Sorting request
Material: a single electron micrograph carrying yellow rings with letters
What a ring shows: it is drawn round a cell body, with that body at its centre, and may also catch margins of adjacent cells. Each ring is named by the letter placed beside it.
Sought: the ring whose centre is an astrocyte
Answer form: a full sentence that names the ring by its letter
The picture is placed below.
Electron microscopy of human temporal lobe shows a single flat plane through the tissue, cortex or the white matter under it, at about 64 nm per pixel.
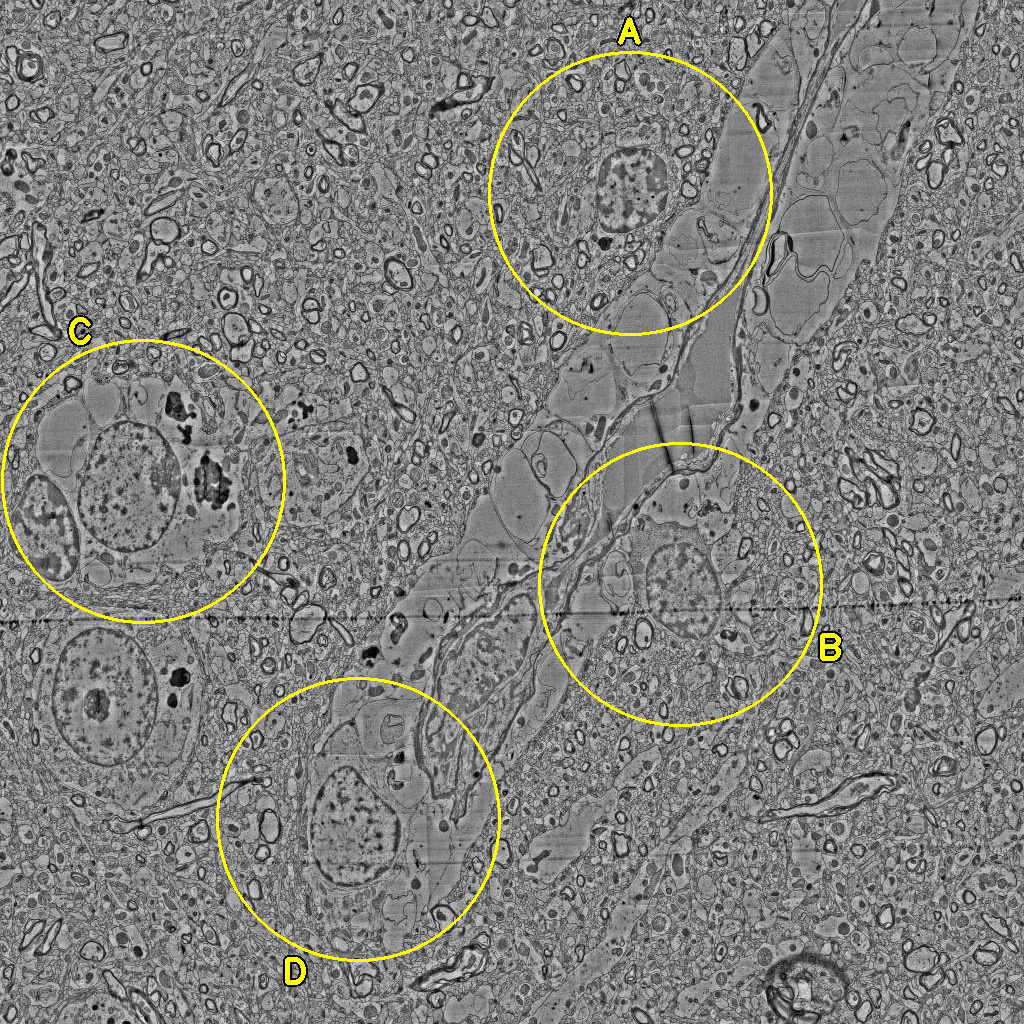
The ring centred on the cell asked for carries the letter C.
